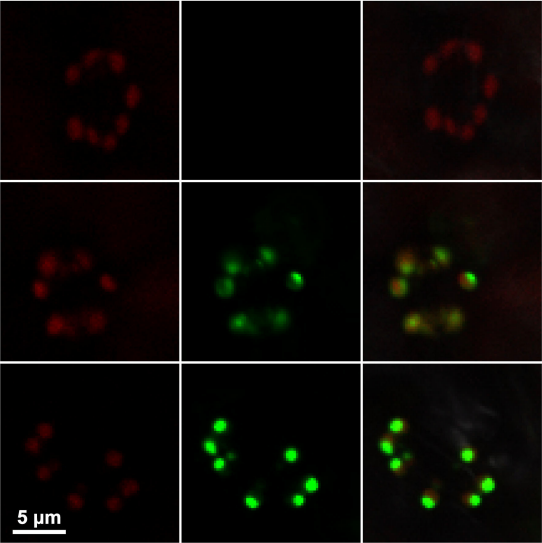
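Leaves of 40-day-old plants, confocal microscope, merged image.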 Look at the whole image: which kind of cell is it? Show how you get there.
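Stomatal guard cells. About eight to ten dots are arranged in an oval ring roughly 10 micrometres long.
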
